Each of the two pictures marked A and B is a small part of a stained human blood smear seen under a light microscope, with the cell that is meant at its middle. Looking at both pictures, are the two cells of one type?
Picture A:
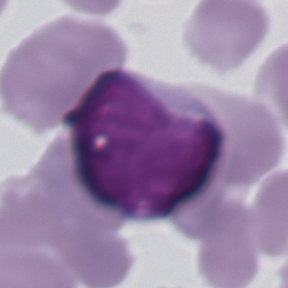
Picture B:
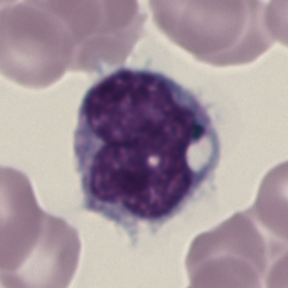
no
